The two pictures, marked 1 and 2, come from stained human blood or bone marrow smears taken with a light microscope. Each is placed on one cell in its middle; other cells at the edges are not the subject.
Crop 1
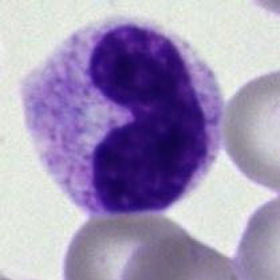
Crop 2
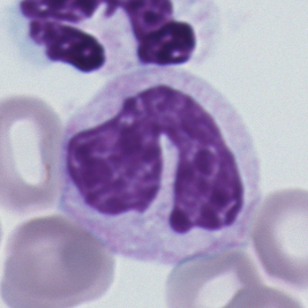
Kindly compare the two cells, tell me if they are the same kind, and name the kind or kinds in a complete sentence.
Yes, both crops show band neutrophils, one in each.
